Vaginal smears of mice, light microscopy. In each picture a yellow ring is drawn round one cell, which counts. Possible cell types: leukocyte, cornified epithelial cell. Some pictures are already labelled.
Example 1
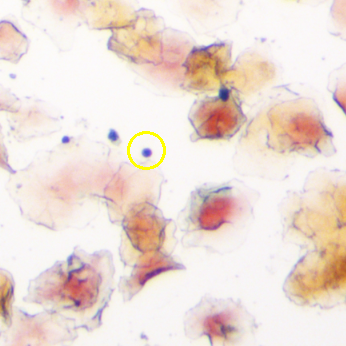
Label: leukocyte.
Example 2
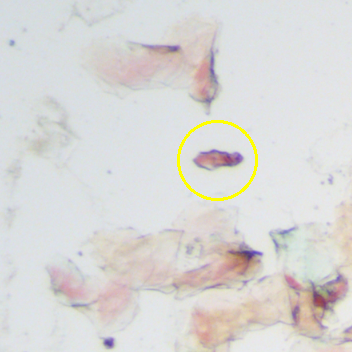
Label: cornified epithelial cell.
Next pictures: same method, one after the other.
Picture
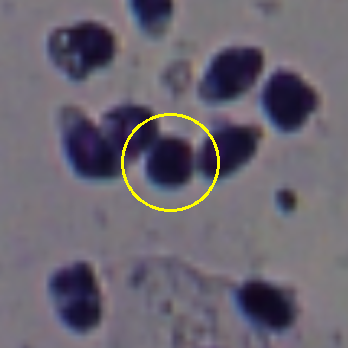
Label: leukocyte.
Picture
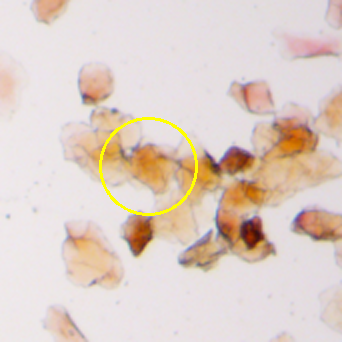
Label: cornified epithelial cell.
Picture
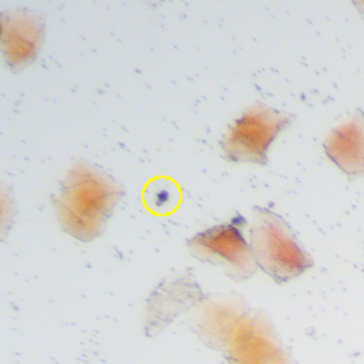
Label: leukocyte.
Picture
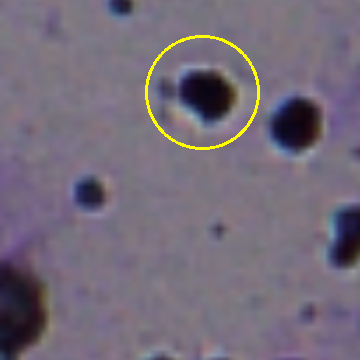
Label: leukocyte.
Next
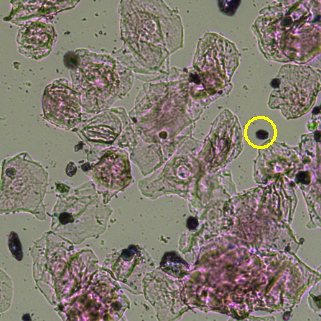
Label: leukocyte.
